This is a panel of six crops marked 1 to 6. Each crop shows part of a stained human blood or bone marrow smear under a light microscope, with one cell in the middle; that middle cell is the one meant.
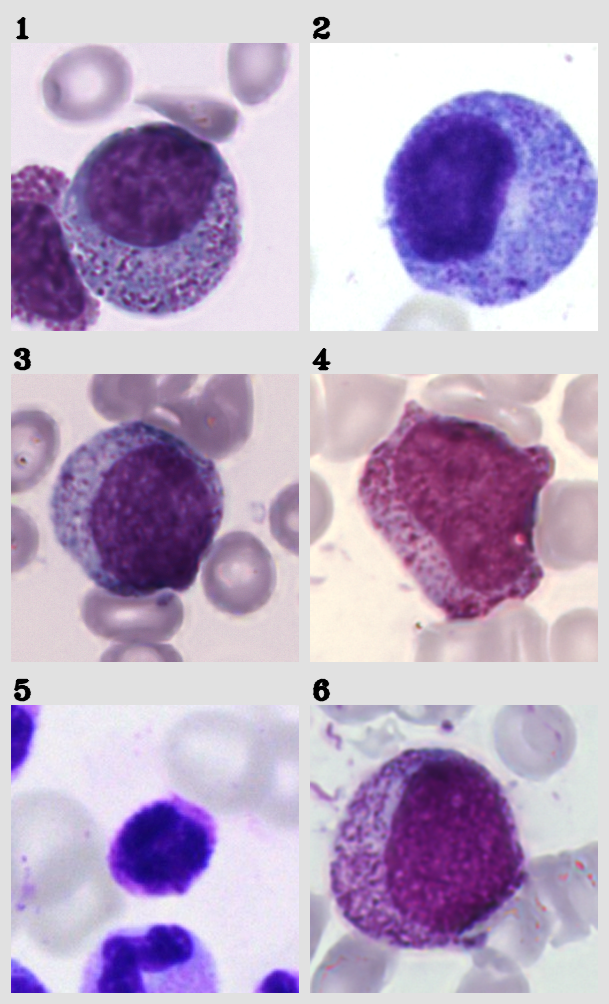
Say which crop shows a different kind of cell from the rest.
5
